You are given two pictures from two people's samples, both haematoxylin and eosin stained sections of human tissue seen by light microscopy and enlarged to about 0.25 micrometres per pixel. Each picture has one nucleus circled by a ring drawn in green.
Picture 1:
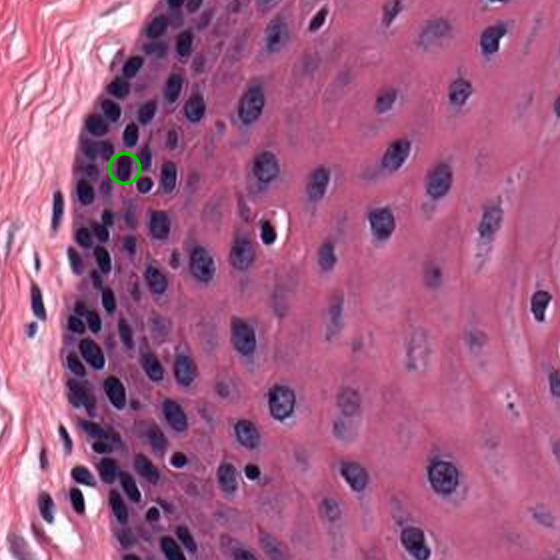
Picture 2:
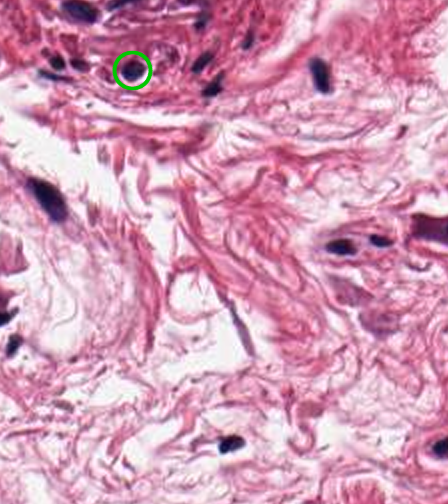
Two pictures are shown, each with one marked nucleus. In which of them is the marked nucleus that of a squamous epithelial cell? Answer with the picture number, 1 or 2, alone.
1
